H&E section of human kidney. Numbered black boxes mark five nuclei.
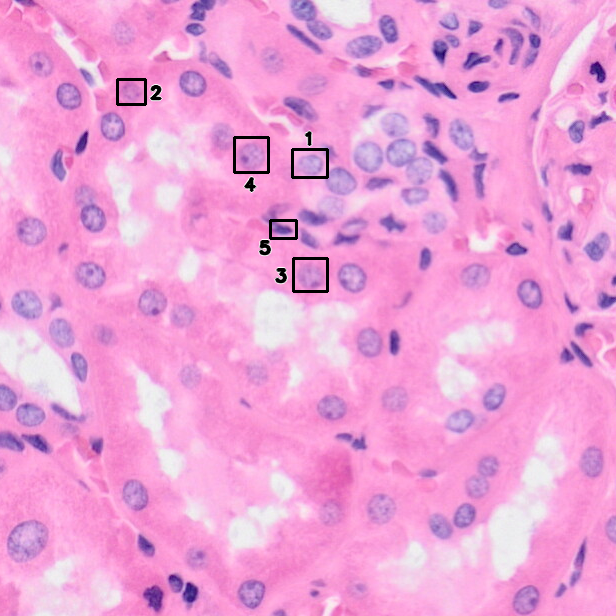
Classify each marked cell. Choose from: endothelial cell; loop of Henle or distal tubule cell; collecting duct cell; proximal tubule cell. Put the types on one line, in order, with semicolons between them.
collecting duct cell; proximal tubule cell; proximal tubule cell; proximal tubule cell; endothelial cell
